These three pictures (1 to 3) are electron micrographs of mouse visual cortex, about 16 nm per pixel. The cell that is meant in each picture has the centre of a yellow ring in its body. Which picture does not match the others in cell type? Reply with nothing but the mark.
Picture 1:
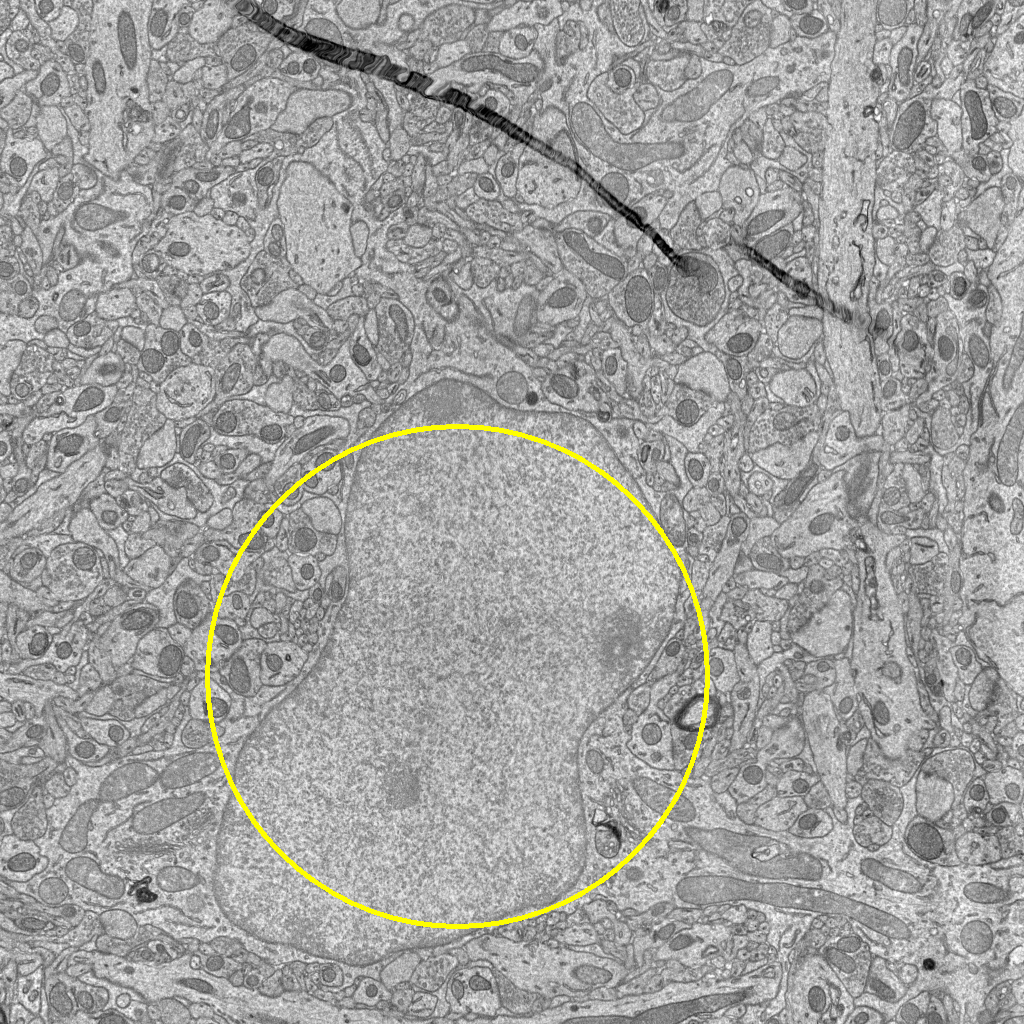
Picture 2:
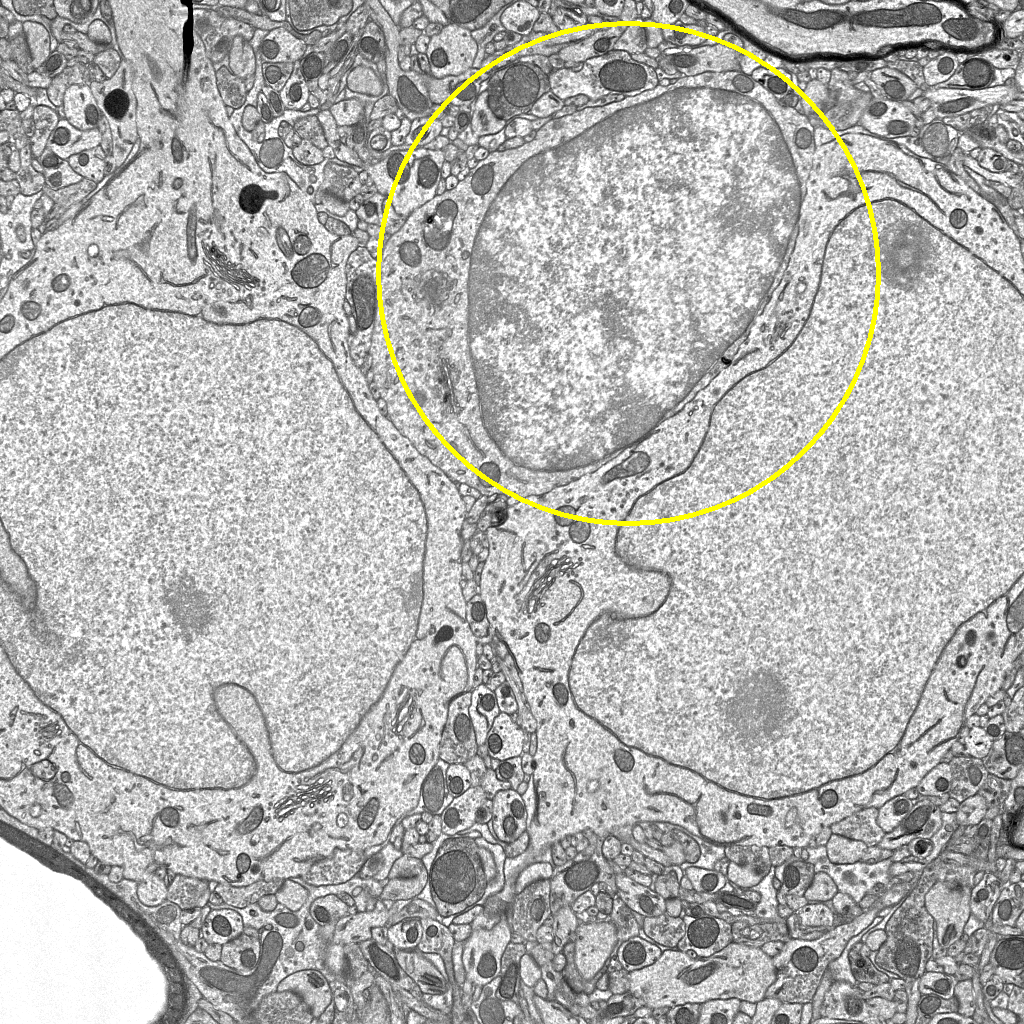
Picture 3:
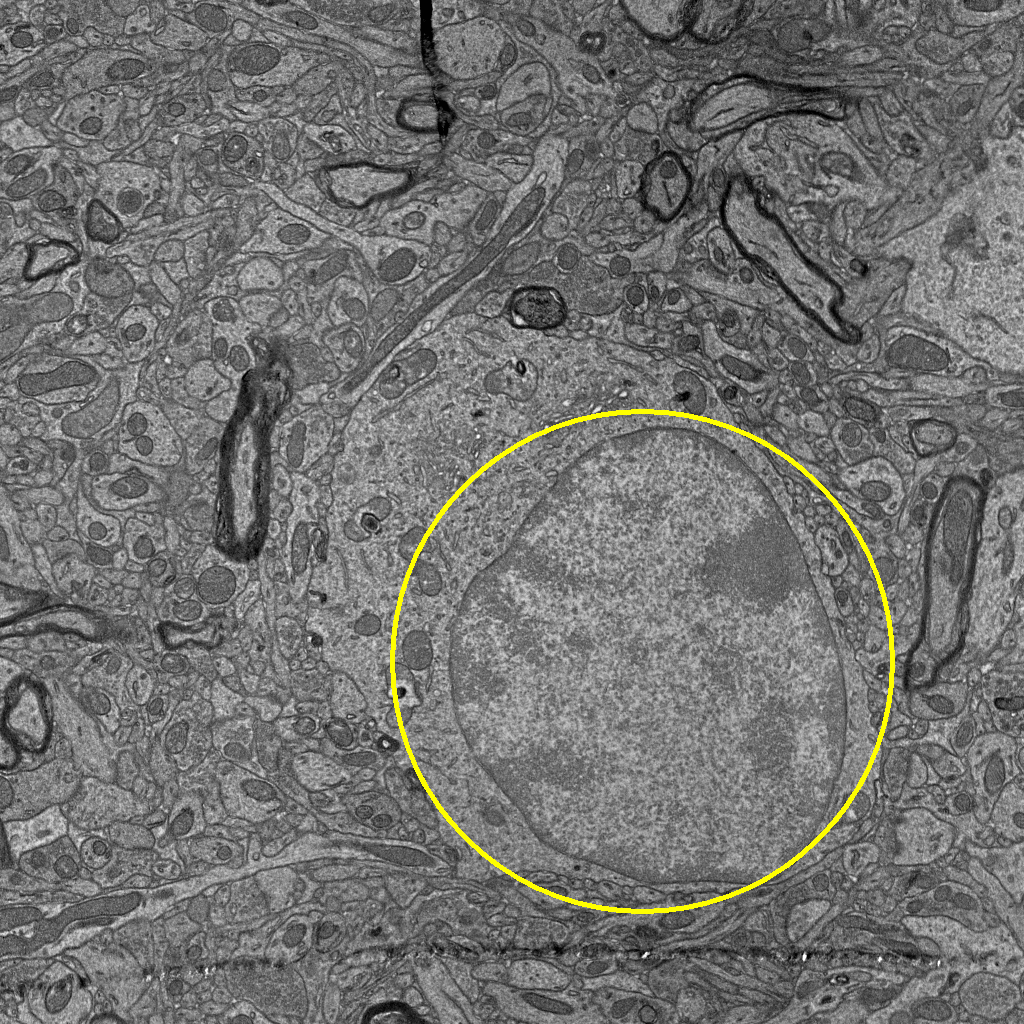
1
